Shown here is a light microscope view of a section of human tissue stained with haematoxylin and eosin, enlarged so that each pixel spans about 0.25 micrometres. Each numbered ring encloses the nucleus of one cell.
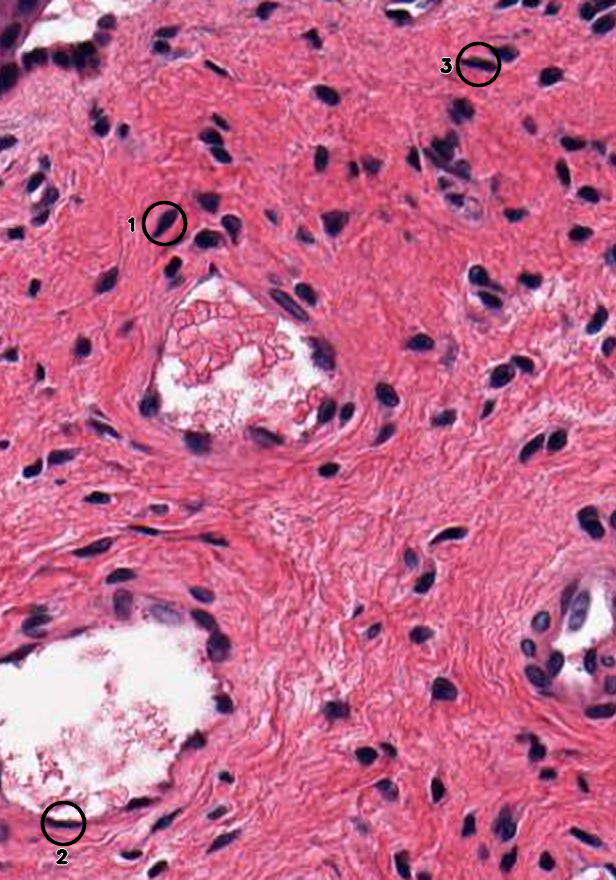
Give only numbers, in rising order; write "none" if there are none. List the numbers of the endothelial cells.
2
